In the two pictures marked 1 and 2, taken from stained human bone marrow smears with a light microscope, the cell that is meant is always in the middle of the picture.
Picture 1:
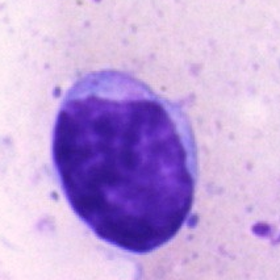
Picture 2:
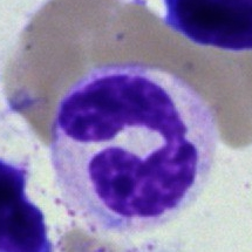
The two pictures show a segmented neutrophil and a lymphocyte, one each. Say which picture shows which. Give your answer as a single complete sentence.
It is picture 1 that shows a lymphocyte, and picture 2 that shows a segmented neutrophil.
